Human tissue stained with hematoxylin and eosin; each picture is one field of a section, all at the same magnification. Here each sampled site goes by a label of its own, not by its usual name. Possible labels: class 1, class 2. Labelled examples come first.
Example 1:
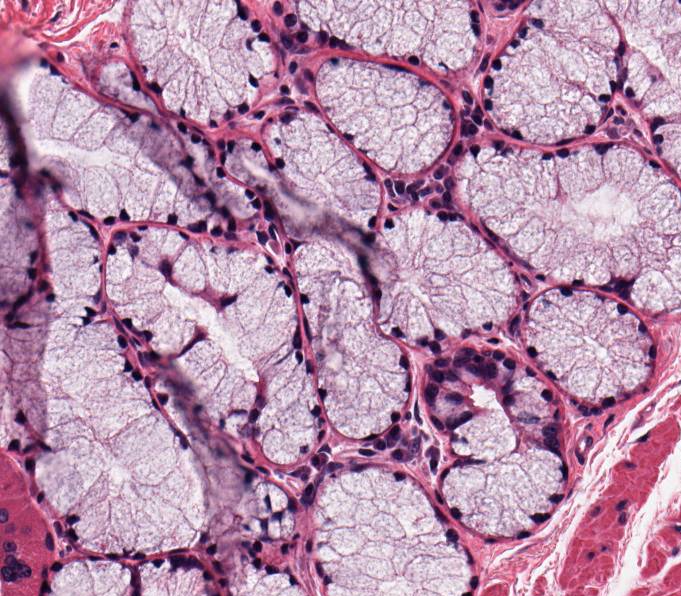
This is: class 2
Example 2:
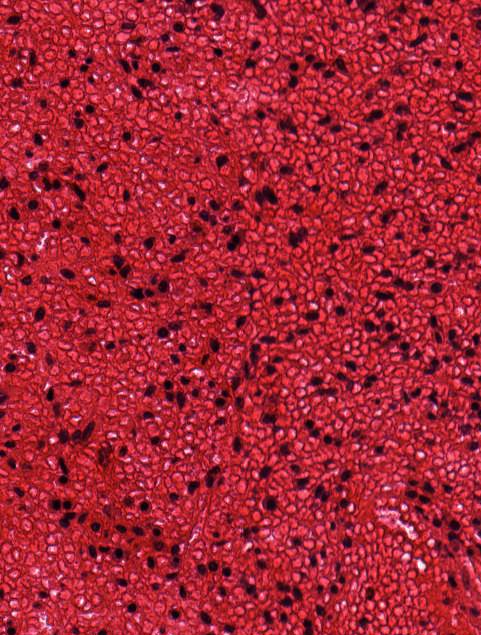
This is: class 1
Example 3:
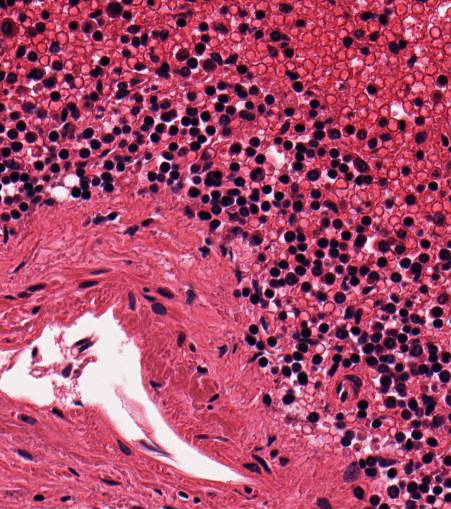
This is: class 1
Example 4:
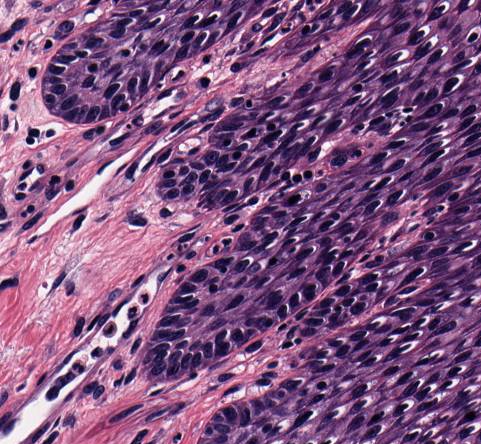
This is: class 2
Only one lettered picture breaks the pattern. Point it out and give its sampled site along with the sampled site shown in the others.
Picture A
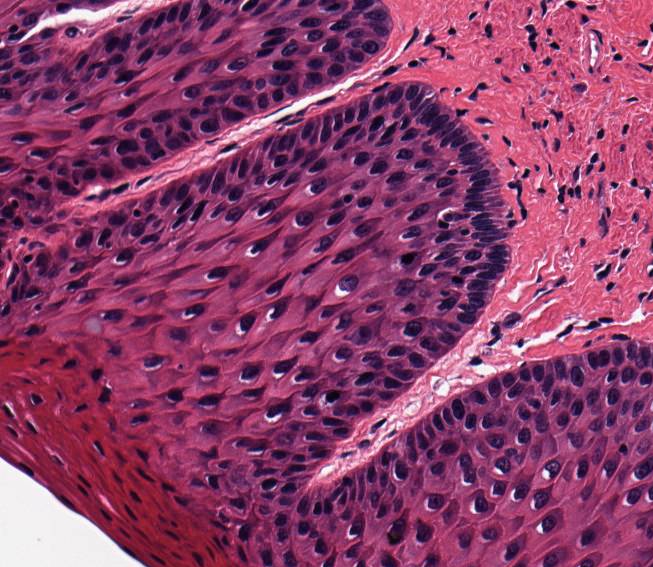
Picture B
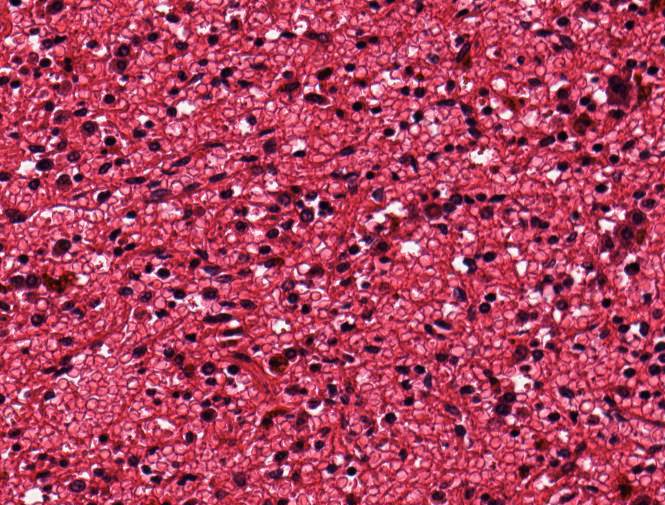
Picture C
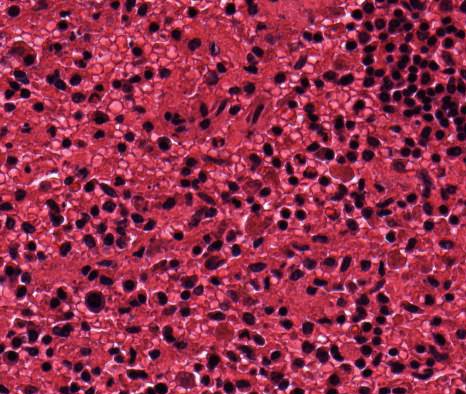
Picture A: class 2. All others: class 1.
